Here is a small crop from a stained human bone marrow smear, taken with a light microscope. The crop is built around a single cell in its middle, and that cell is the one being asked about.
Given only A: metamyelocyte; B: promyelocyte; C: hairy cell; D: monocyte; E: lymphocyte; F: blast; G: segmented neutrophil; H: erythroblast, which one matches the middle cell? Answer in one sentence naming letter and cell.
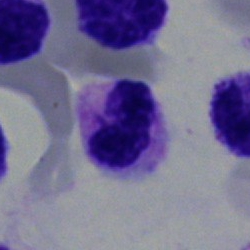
The cell positioned centrally is a segmented neutrophil, as given in option G, which is correct.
